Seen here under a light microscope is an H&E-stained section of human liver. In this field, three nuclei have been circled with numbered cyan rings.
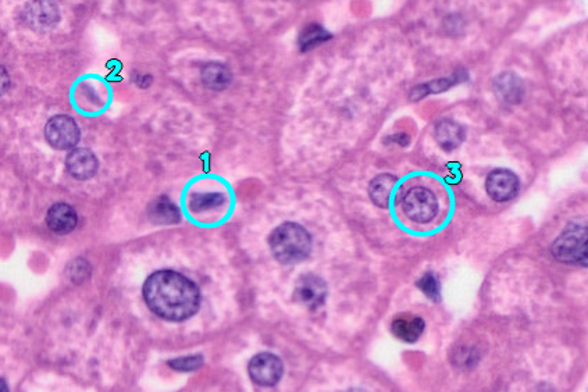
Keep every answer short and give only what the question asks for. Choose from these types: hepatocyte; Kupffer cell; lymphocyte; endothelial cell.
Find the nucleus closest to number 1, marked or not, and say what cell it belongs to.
endothelial cell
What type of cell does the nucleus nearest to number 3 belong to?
hepatocyte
